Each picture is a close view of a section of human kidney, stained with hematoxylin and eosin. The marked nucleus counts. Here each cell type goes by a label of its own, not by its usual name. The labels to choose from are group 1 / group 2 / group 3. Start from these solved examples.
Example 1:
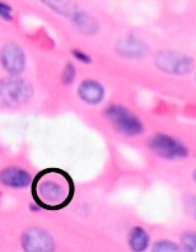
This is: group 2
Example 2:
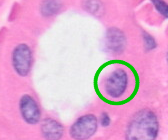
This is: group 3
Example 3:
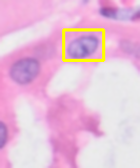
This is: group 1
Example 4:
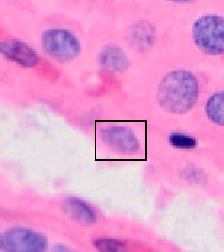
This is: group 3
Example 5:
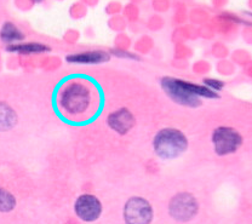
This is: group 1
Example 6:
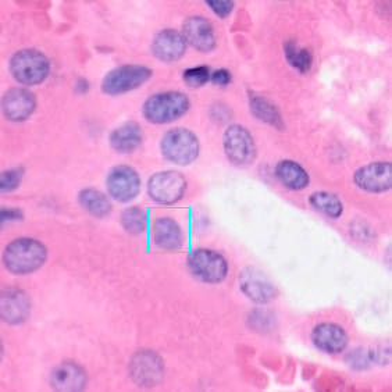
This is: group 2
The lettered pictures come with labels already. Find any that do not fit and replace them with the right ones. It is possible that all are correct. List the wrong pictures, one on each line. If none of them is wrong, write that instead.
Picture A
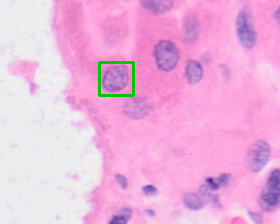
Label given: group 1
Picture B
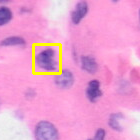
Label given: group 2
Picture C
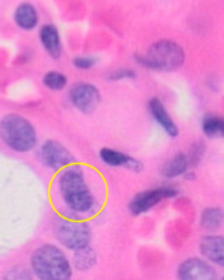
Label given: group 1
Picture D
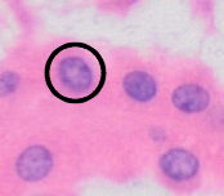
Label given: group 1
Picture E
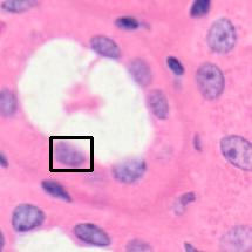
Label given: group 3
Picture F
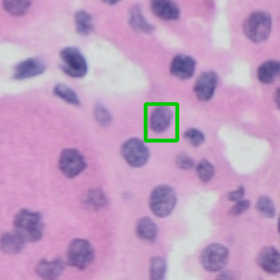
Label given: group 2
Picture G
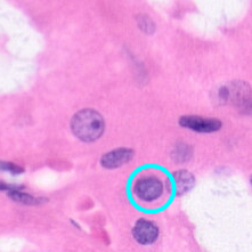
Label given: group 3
Wrong: C (group 1); correct: group 2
